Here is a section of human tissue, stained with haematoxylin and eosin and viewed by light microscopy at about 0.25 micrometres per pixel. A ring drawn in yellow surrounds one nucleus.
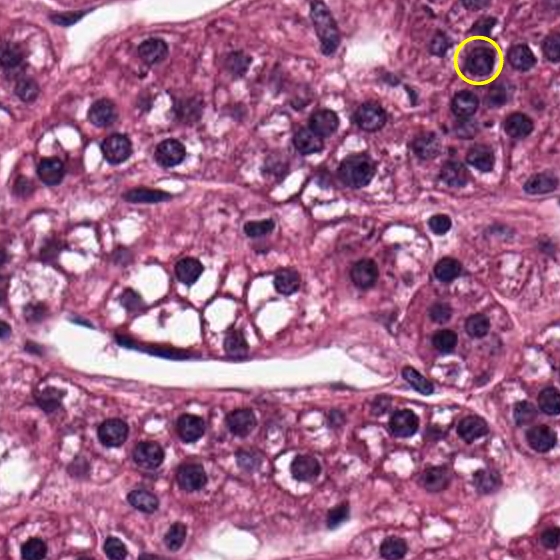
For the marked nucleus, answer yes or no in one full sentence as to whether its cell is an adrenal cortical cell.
Yes, an adrenal cortical cell contains the marked nucleus.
